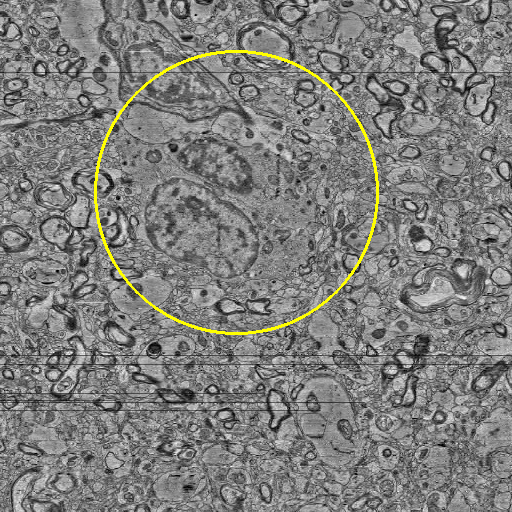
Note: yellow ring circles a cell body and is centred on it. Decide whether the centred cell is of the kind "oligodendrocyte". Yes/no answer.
Yes, the centred cell is of that kind.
